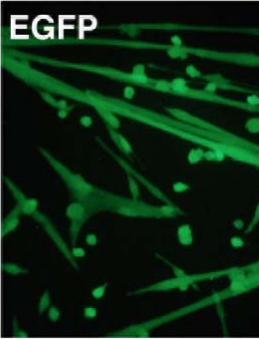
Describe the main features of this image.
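Cultured myotubes fluoresce green along their whole length as long, thin cells stretching across the field, several running in parallel and some with tapered or branching ends. Small round green cells are dispersed among them on a dark background.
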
